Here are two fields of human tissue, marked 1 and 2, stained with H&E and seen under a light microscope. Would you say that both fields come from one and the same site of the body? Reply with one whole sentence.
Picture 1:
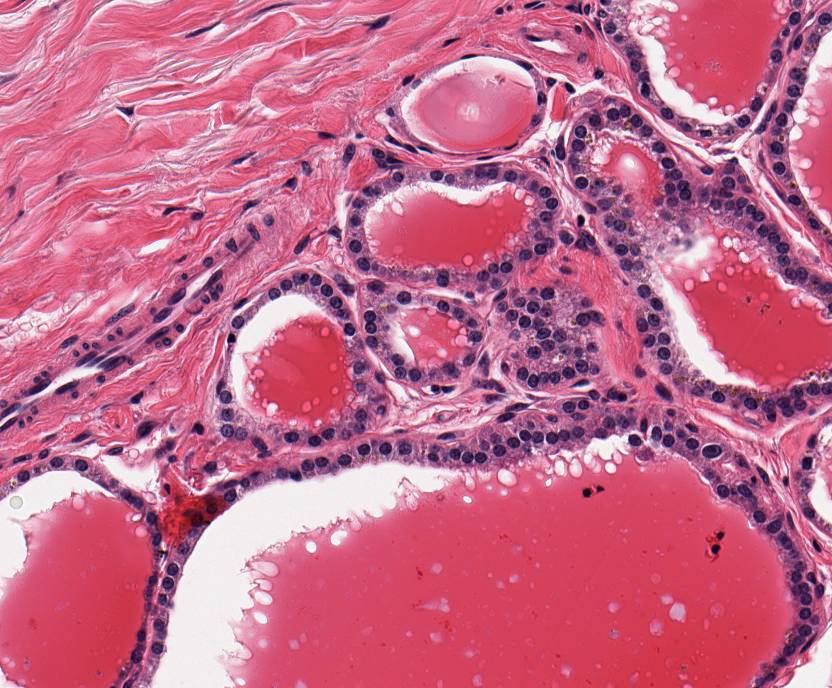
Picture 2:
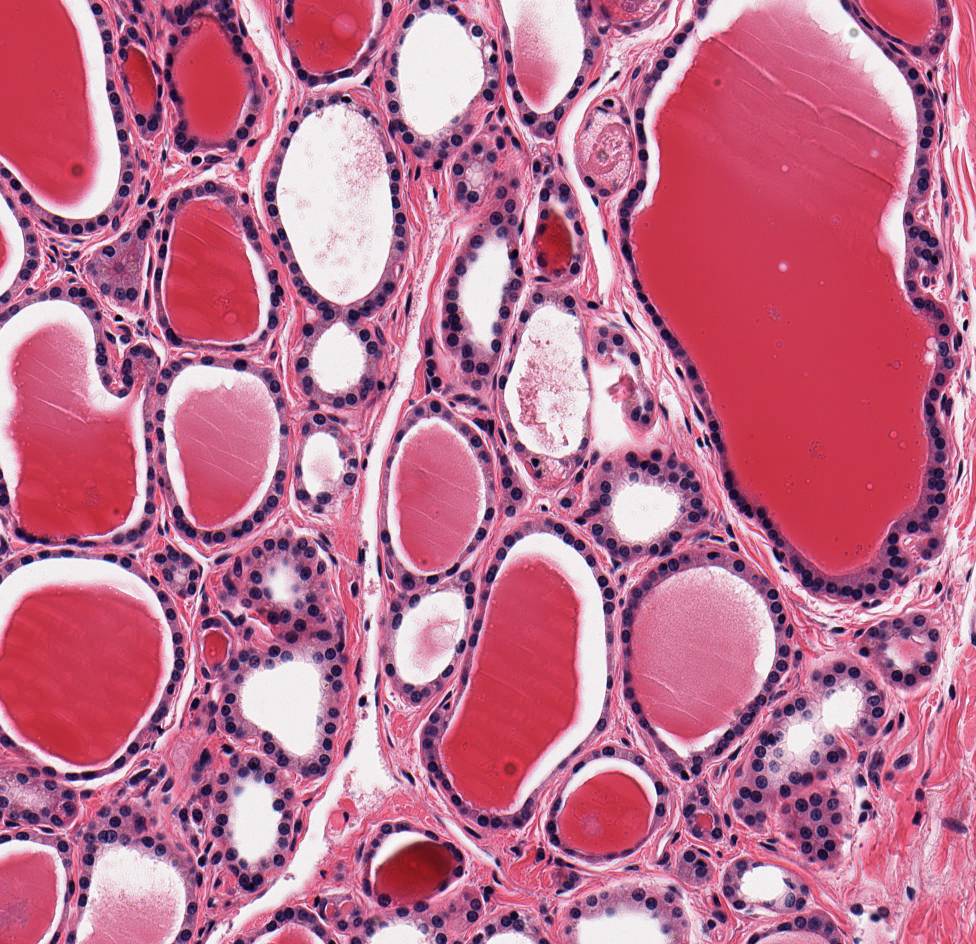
Yes; both pictures come from the thyroid.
